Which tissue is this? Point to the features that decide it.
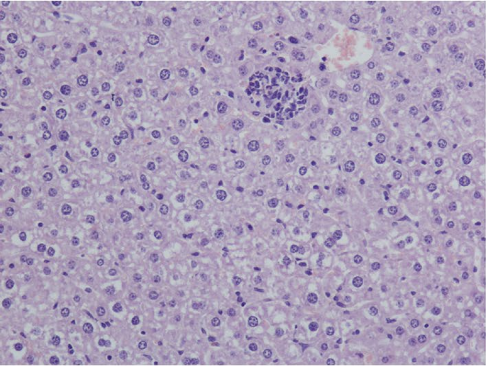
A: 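Sheets of large polygonal cells with round central nuclei and prominent nucleoli. A small vessel containing red cells.
Hence: Liver.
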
